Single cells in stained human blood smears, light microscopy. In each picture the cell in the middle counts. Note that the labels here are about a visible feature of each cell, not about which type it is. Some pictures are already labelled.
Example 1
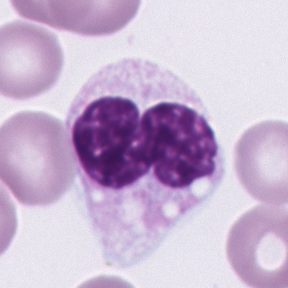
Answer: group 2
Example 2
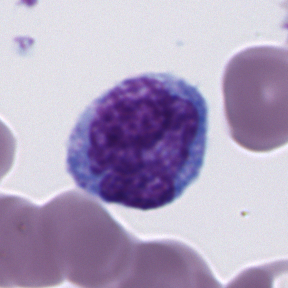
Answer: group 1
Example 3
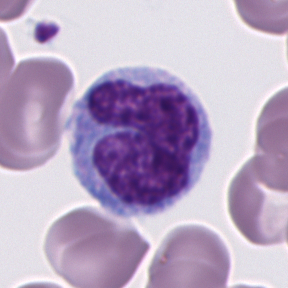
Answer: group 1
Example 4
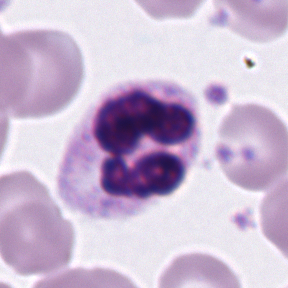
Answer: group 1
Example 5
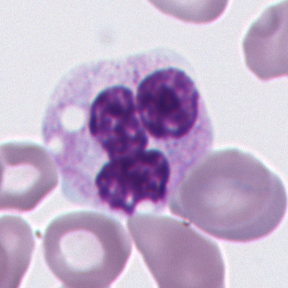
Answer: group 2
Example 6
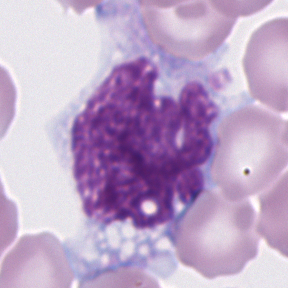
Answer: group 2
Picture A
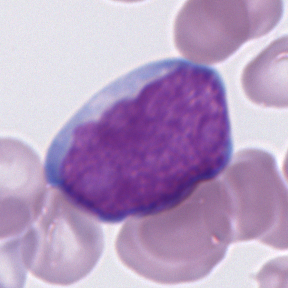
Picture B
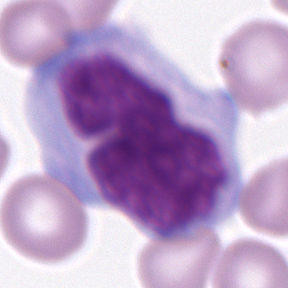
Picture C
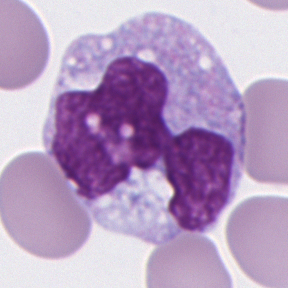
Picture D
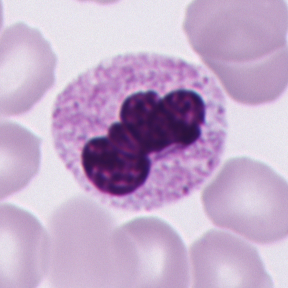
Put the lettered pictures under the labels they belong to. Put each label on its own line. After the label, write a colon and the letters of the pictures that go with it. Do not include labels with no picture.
group 2: C
group 1: A, B, D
